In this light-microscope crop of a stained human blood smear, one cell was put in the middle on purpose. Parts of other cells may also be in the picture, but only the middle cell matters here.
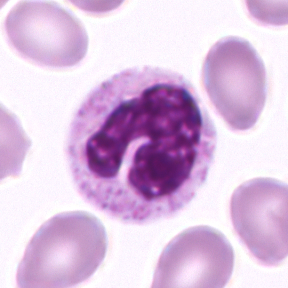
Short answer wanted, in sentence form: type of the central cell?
For this crop, the central cell is a band neutrophil.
